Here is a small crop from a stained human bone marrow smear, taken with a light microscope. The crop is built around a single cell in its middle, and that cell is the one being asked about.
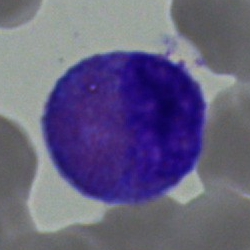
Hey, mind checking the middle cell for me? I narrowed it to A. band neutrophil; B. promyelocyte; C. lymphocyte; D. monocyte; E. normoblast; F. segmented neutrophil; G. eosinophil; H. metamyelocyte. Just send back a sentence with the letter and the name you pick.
Seen at the centre of the crop is an eosinophil, so option G is correct.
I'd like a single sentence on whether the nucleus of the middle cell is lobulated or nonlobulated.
Its nucleus is compact and single, with a round, oval or kidney-shaped form.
